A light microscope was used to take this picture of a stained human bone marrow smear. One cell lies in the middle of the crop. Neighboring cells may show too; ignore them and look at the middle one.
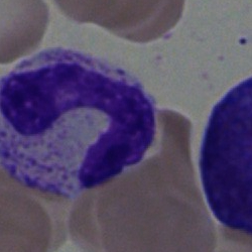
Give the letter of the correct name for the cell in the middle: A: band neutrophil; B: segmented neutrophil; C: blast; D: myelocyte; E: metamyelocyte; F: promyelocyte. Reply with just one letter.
A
